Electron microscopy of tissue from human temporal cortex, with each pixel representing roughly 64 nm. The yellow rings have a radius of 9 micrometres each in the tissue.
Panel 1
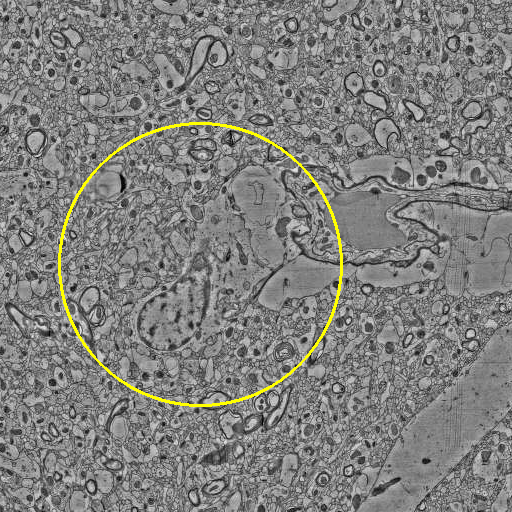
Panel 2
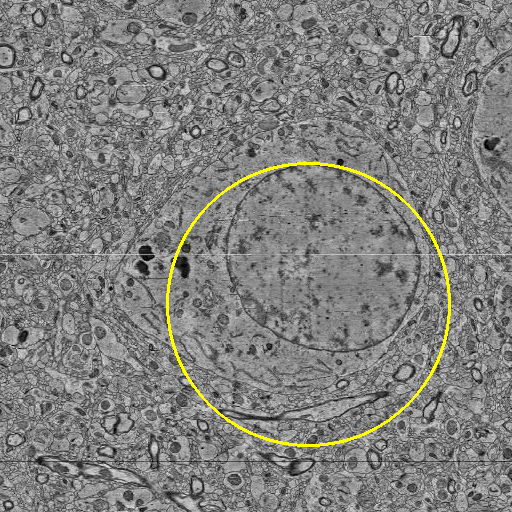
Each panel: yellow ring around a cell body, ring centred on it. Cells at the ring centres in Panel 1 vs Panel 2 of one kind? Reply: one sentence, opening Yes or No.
No, Panel 1 and Panel 2 have cells of two kinds at the ring centres.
